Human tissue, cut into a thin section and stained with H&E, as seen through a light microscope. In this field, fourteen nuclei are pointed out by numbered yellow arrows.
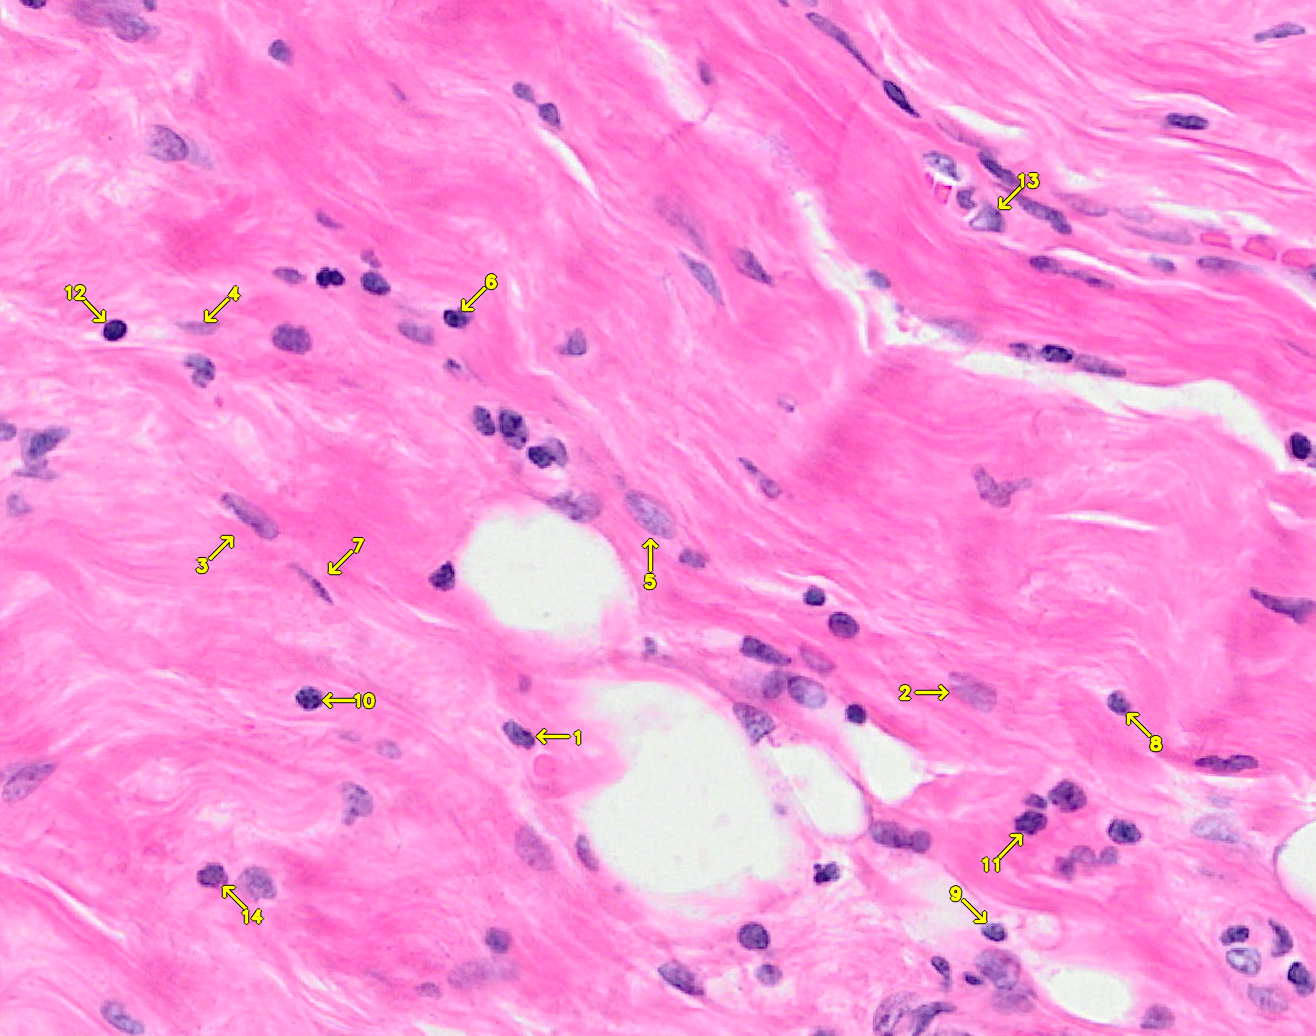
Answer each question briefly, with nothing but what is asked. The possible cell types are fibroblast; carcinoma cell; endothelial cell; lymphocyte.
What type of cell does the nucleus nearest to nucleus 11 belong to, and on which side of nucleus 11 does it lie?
a lymphocyte, above nucleus 11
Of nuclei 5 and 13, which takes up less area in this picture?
13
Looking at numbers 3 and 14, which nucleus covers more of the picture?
3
